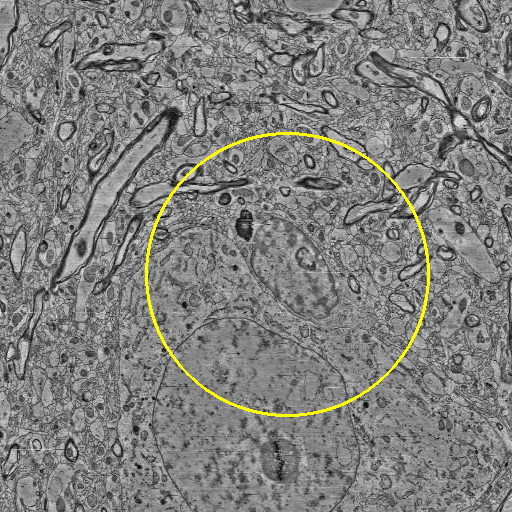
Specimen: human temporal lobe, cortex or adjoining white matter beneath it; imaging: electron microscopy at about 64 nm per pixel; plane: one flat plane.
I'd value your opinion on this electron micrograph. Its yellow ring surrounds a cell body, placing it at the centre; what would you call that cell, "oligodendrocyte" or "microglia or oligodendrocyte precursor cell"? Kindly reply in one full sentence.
It is an oligodendrocyte that sits centred within the yellow ring in this micrograph.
